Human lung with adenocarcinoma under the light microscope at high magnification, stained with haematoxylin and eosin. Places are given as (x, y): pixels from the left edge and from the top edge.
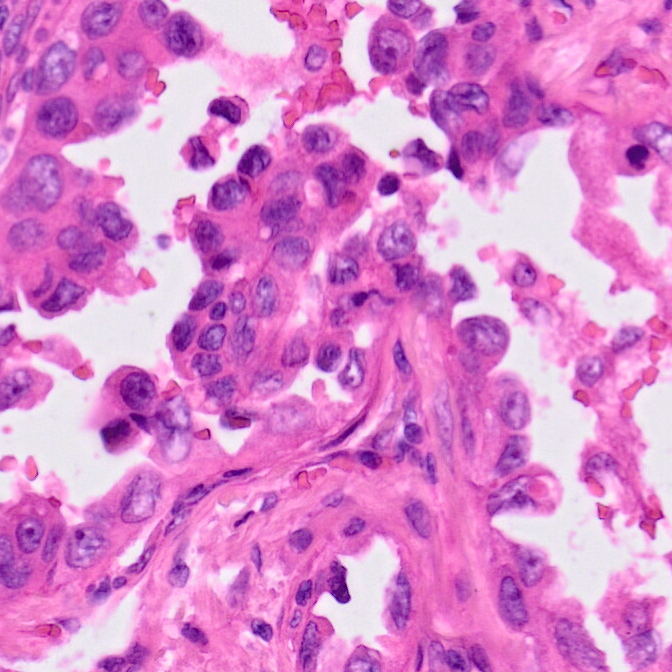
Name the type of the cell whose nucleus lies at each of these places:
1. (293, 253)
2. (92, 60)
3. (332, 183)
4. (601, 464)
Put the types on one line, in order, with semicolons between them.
carcinoma cell; carcinoma cell; carcinoma cell; macrophage or monocyte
